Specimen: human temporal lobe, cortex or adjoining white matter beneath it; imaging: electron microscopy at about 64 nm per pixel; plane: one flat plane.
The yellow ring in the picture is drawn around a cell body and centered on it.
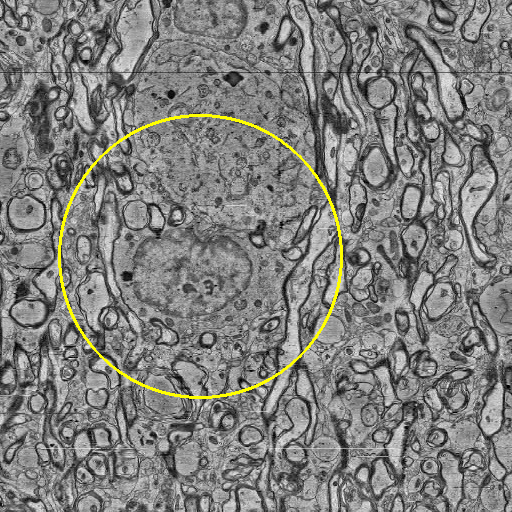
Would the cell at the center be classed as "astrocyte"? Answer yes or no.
No, it belongs to another class.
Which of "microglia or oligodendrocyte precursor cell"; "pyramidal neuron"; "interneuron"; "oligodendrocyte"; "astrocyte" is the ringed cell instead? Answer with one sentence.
It is an oligodendrocyte that the ring is centred on.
